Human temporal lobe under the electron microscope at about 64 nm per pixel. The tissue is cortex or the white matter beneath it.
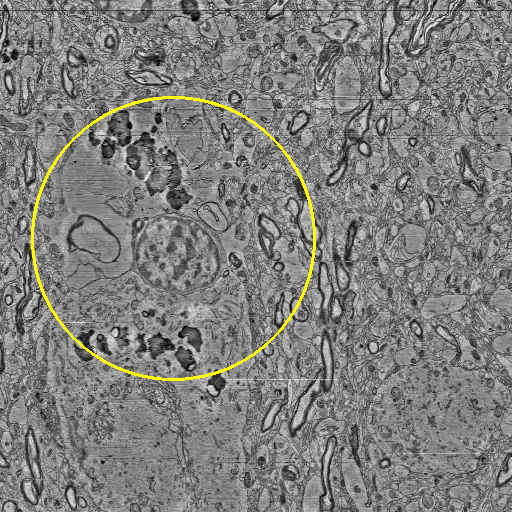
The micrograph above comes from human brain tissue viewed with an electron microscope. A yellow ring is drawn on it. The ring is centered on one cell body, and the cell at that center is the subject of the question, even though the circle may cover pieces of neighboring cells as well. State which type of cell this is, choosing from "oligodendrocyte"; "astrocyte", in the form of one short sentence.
The cell the ring is centered on is an oligodendrocyte.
